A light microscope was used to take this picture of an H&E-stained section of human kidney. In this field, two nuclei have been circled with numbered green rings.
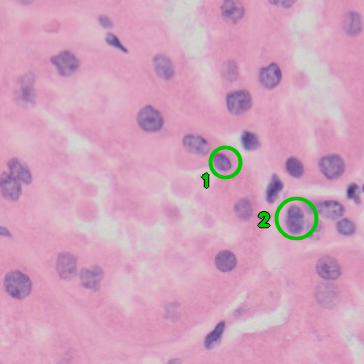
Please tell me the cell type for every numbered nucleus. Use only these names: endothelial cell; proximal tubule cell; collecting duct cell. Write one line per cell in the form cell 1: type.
cell 1: proximal tubule cell
cell 2: collecting duct cell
